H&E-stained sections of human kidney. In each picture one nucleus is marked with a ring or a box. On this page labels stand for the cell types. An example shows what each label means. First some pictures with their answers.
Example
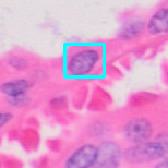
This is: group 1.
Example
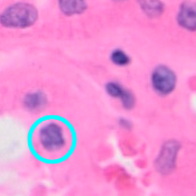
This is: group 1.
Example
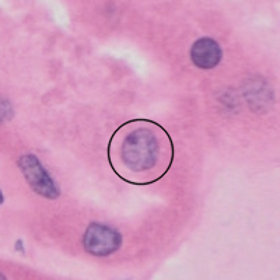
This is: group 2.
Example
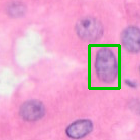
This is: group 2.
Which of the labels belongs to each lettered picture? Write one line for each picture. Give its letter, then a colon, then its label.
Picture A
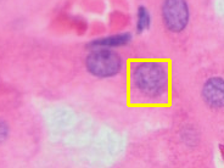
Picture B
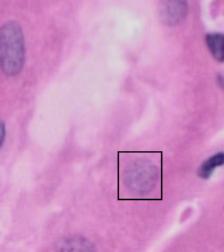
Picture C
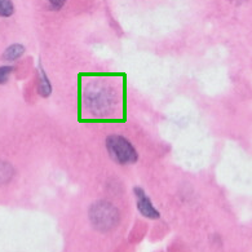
A: group 2.
B: group 2.
C: group 2.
